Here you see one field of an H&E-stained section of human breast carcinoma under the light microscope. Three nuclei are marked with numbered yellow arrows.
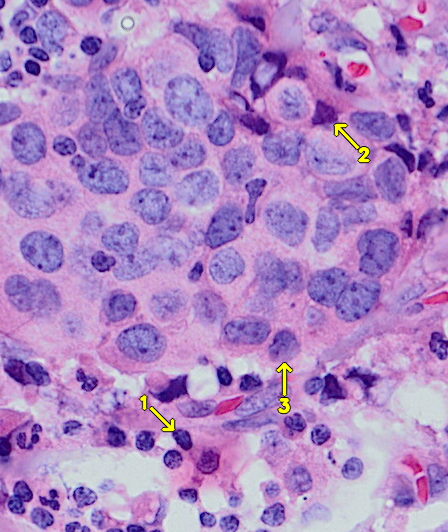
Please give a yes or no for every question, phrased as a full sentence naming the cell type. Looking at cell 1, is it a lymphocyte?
Yes, the cell carrying number 1 is a lymphocyte.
